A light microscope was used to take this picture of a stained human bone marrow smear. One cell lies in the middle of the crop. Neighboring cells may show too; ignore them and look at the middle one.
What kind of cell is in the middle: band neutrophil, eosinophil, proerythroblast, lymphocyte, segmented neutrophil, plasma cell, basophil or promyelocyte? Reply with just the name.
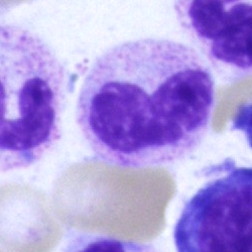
band neutrophil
